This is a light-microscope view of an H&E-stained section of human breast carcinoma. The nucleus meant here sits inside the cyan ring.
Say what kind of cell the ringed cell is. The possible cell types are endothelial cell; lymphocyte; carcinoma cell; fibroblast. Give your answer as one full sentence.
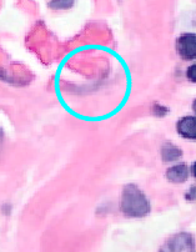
The ringed cell appears to be an endothelial cell.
